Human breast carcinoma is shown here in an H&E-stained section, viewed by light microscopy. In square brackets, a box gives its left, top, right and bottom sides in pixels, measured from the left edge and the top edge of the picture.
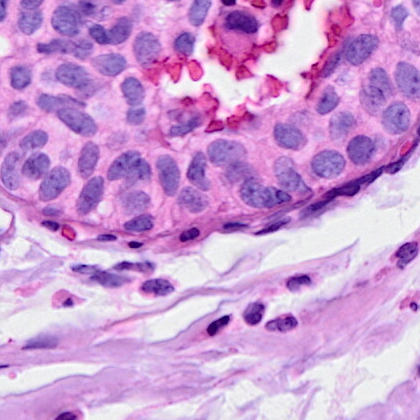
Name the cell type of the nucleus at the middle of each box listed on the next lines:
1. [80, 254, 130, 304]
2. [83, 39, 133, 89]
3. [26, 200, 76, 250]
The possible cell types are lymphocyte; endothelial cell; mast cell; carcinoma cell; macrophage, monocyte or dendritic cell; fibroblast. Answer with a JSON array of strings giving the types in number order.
["fibroblast", "carcinoma cell", "endothelial cell"]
